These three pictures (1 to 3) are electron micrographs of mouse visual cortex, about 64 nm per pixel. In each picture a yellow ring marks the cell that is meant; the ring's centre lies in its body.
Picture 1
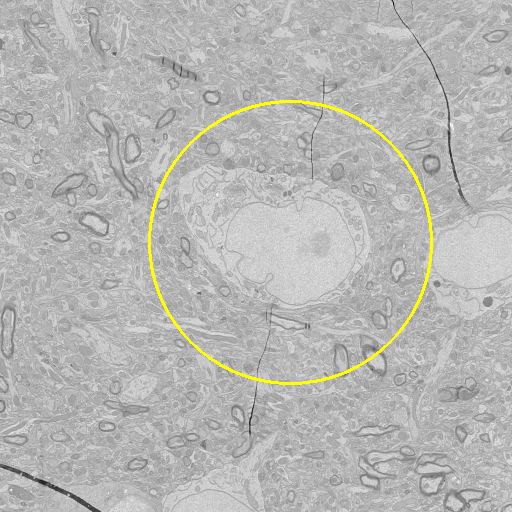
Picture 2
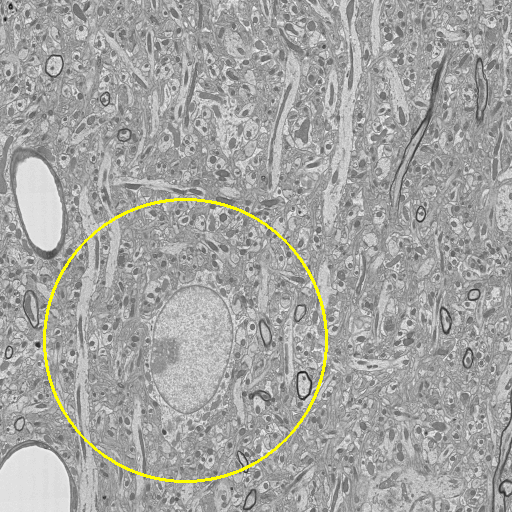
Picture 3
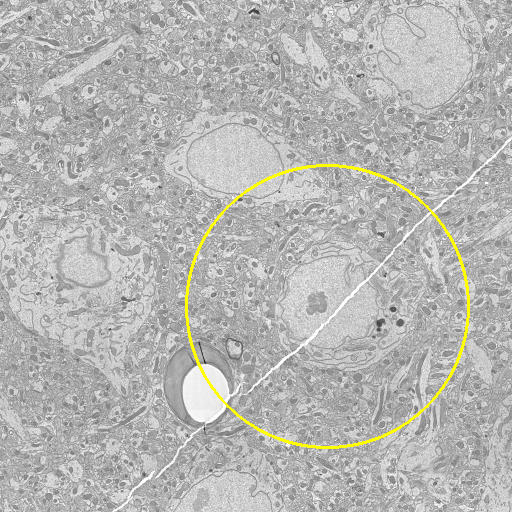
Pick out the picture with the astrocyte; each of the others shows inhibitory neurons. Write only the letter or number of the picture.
2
